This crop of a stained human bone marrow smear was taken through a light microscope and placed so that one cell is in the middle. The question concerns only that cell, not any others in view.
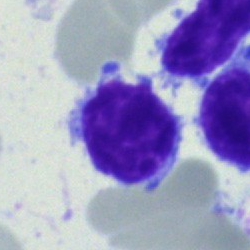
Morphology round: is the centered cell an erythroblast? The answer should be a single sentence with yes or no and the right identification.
No, it is a lymphocyte, not an erythroblast, that lies at the centre of the crop.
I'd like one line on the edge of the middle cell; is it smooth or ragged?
No smooth contour is present; the border is ragged or extended into projections.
